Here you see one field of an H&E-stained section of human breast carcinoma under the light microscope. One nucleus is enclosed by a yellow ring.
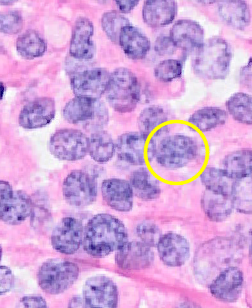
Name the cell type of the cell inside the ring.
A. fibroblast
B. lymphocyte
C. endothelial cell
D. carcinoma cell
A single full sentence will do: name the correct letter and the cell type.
In this item, the cell inside the ring is a carcinoma cell, and option D is right.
